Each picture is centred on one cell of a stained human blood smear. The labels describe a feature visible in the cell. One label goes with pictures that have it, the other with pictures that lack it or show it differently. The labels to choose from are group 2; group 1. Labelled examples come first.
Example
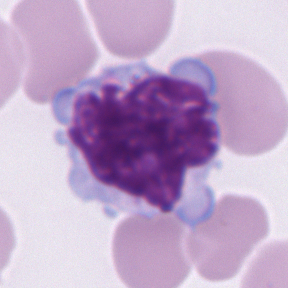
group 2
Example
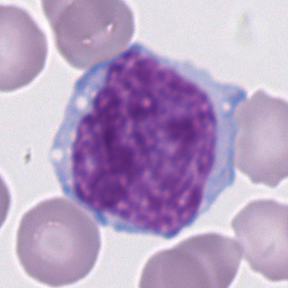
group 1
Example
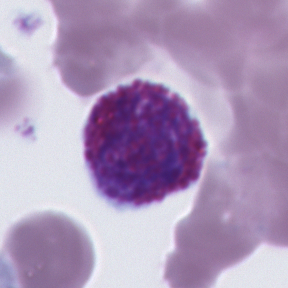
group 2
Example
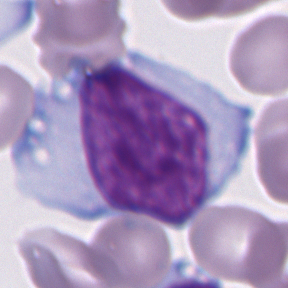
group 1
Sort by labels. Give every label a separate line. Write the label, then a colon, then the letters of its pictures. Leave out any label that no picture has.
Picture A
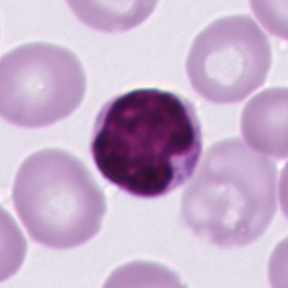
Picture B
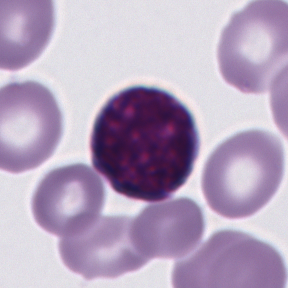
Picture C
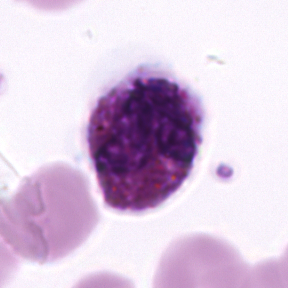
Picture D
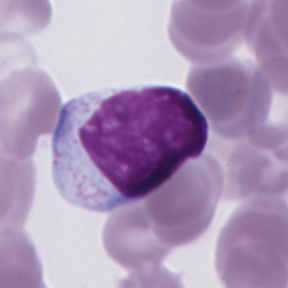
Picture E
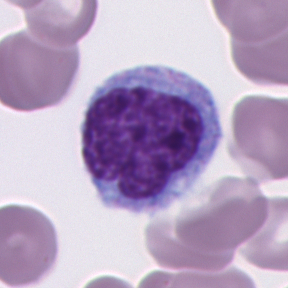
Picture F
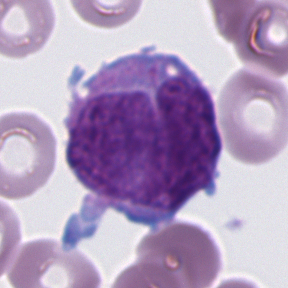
group 2: A, B, C, D, E
group 1: F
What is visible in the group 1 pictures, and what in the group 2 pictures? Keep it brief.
group 1, vacuoles present; group 2, no vacuoles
